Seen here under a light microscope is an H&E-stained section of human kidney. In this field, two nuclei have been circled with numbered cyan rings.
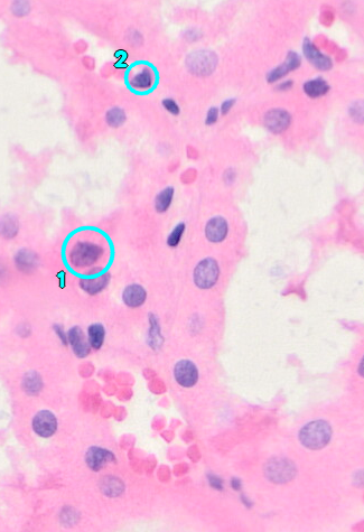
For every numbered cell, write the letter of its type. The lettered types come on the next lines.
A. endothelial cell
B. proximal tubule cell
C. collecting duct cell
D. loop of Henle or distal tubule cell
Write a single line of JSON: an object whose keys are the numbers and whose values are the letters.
{"1": "B", "2": "A"}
